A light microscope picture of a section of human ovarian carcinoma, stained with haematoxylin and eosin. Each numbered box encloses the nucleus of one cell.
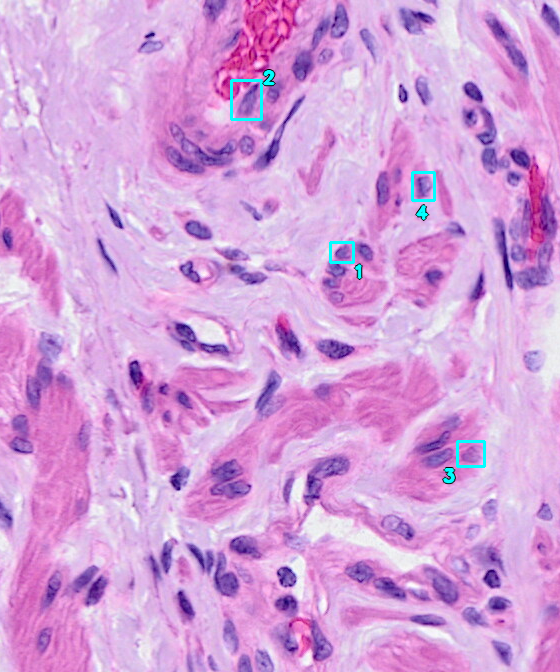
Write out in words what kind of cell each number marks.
Cell 1 is a smooth muscle cell, cell 2 is an endothelial cell, cell 3 is a smooth muscle cell and cell 4 is a smooth muscle cell.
